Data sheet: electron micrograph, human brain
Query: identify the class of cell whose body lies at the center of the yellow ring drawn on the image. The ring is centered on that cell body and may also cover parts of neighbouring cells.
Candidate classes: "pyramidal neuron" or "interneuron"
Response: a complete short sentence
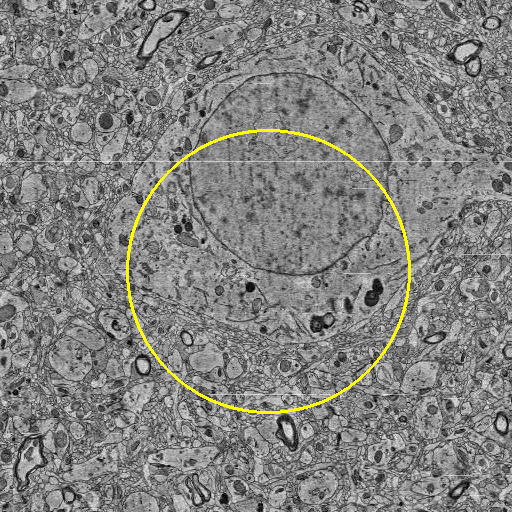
At the center of the ring lies a pyramidal neuron.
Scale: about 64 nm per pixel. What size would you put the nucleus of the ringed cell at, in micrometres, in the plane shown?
In this plane, roughly 13 micrometres across.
